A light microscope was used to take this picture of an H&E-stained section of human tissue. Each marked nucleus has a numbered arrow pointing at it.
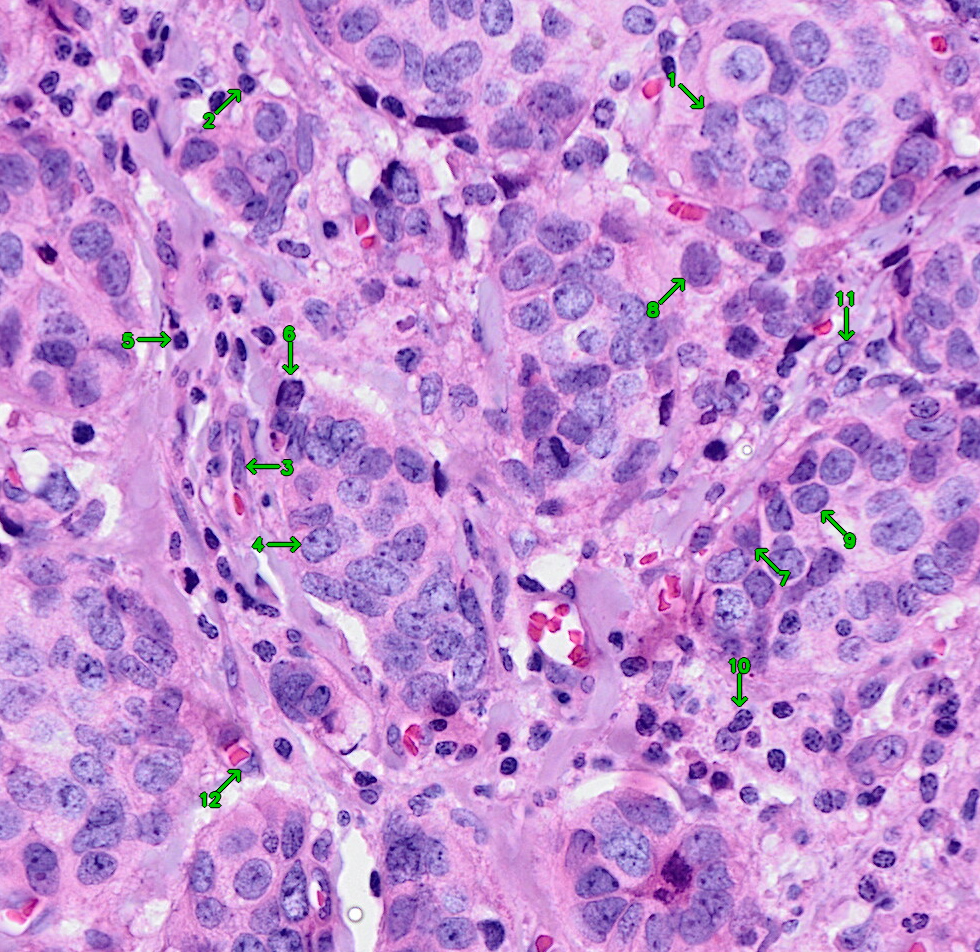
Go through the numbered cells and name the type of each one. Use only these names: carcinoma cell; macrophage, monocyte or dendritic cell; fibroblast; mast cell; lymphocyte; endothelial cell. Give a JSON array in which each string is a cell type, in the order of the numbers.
["carcinoma cell", "lymphocyte", "endothelial cell", "carcinoma cell", "lymphocyte", "carcinoma cell", "carcinoma cell", "carcinoma cell", "carcinoma cell", "lymphocyte", "endothelial cell", "endothelial cell"]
